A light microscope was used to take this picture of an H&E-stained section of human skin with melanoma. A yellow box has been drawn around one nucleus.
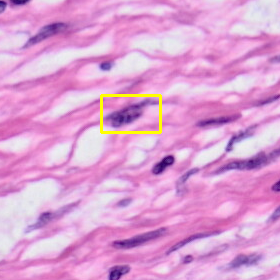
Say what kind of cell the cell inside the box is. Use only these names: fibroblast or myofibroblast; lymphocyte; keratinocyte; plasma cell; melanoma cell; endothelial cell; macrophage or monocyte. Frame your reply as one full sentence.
The cell type represented by the cell inside the box is that of a fibroblast or myofibroblast.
